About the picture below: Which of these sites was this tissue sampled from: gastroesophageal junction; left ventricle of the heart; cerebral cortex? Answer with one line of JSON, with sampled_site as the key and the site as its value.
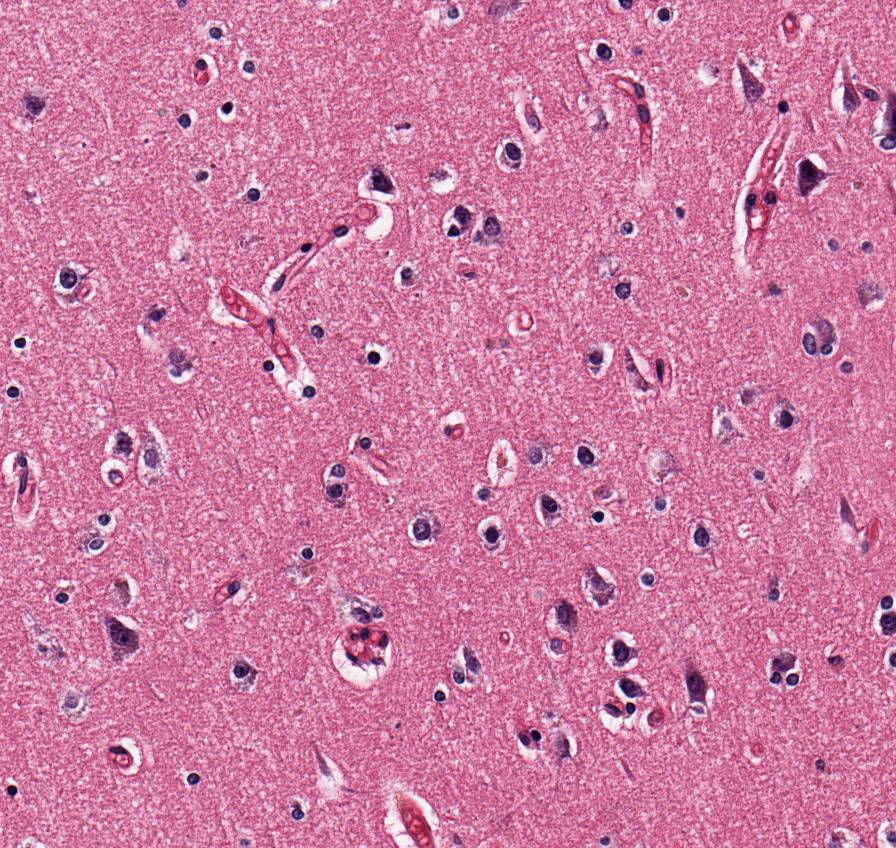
{"sampled_site": "cerebral cortex"}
